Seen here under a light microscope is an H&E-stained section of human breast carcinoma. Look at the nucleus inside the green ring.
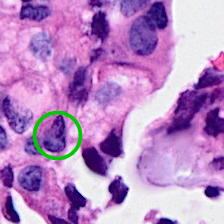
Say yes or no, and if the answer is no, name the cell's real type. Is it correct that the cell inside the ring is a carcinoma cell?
Yes.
